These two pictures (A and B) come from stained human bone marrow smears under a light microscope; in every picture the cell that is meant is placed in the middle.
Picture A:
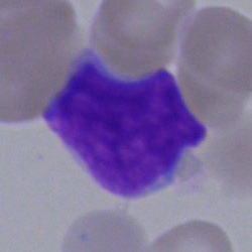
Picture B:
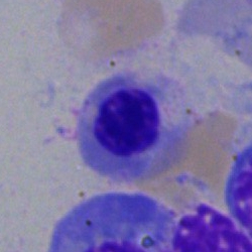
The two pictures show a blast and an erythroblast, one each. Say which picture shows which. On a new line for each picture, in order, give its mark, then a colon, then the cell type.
A: blast
B: erythroblast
